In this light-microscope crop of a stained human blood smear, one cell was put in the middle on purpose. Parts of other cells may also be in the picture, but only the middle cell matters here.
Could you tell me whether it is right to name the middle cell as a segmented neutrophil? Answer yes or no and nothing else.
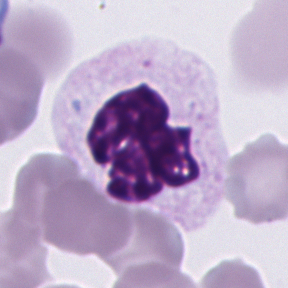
yes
